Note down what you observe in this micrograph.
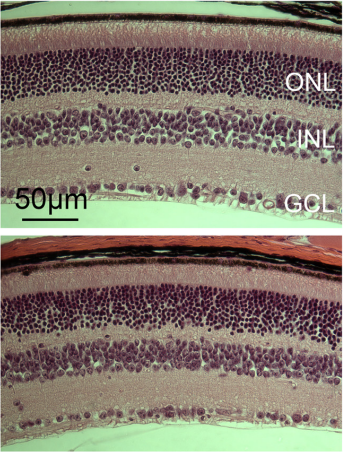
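These are two sections of retina, each with its layers stacked from a dark pigmented band at the top to a single sparse row of nuclei at the bottom. The thickest band of small, round, densely packed dark nuclei lies beneath the pigmented band, with a second, looser row of larger nuclei below it, separated by a pale fibrous band. Between the middle nuclear row and the sparse inner row lies a wide pale band with few nuclei.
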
